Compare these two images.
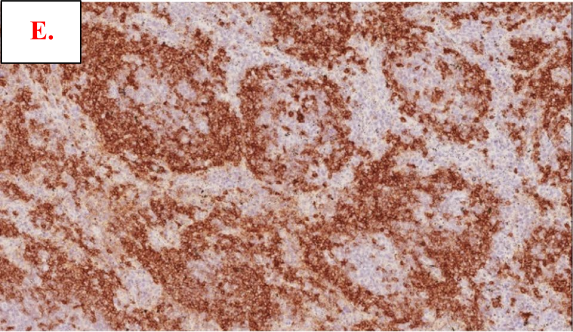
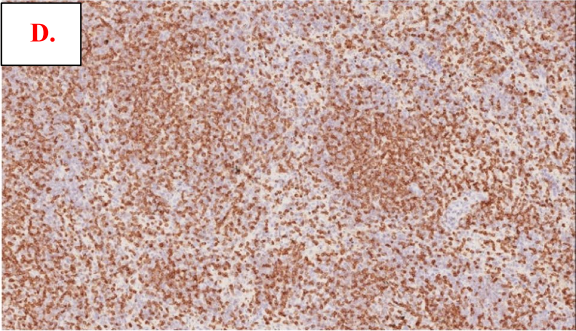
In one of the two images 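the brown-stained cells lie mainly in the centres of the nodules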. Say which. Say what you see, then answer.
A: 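First image: brown cells form rings around pale, unstained nodule centres. Second image: brown cells are concentrated in rounded central areas with paler surroundings. So: the second image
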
